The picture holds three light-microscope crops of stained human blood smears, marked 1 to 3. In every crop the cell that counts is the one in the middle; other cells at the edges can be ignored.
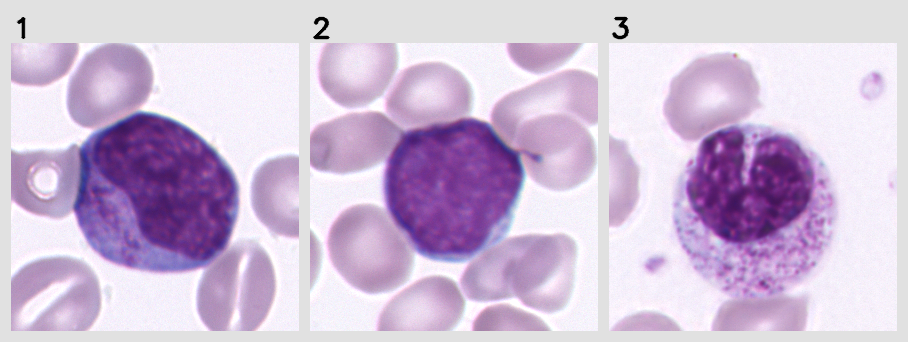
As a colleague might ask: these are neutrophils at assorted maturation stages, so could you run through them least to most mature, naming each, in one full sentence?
The least to most mature ordering of the crops is crop 2 (a myeloblast), crop 1 (a promyelocyte) and crop 3 (a band neutrophil).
